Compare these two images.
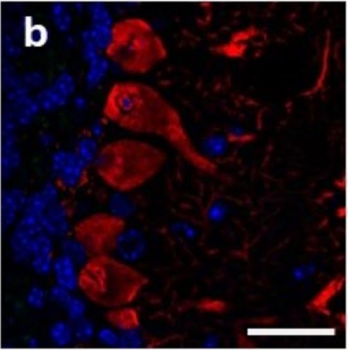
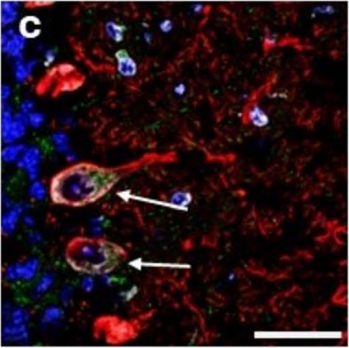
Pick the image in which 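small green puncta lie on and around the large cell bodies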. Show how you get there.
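The second image. Second image: green dots cluster on the arrowed cell bodies and along the border of the small-nucleus band. First image: almost no green dots are seen around the large red cell bodies.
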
